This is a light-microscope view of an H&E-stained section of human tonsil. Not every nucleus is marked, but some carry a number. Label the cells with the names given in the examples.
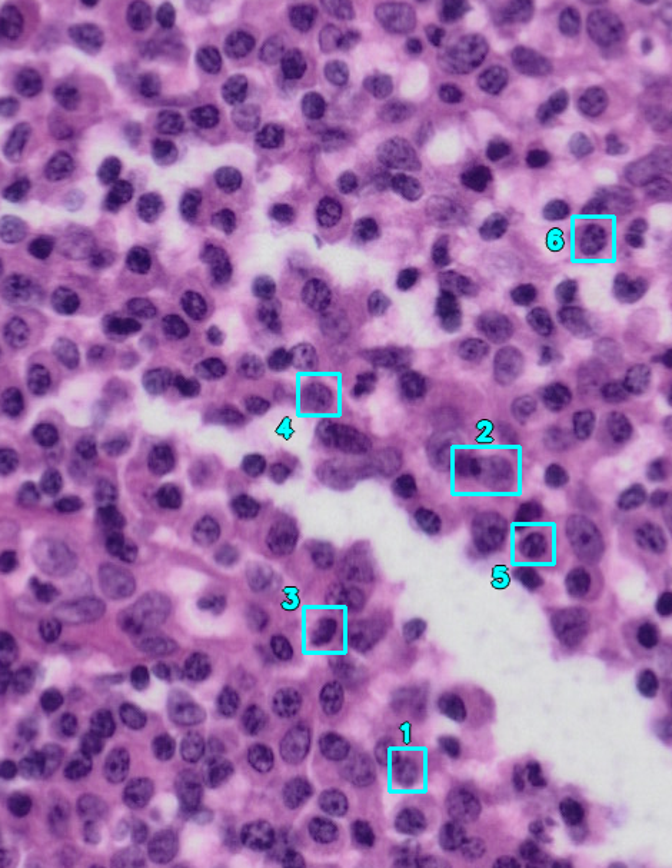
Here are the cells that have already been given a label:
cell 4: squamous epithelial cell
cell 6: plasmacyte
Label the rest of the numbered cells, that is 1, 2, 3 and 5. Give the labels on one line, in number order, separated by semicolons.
plasmacyte; squamous epithelial cell; plasmacyte; plasmacyte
